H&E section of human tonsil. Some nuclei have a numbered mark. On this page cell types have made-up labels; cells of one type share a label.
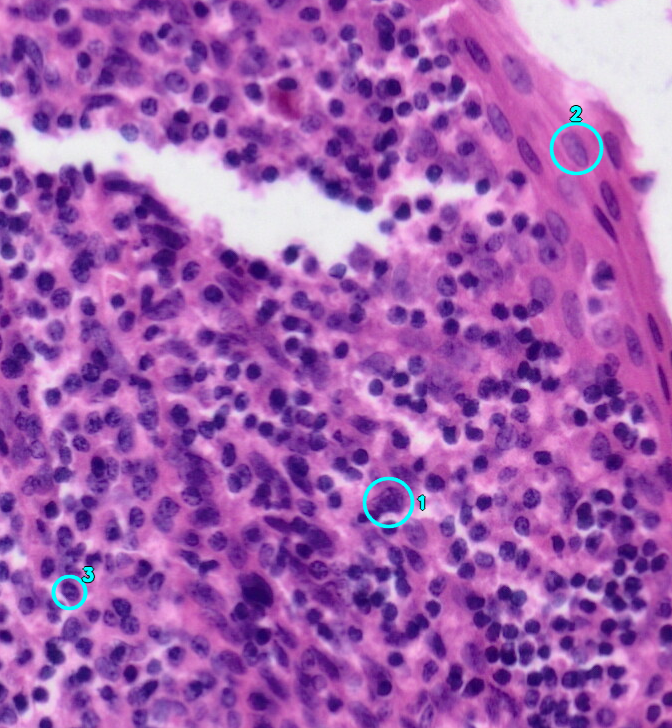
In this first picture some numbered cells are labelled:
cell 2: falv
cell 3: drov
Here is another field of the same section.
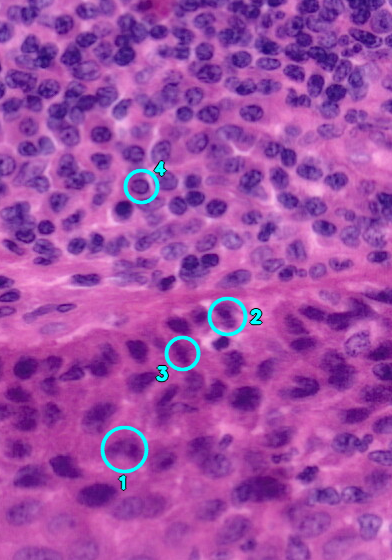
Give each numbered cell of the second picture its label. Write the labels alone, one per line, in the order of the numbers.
falv
falv
falv
drov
